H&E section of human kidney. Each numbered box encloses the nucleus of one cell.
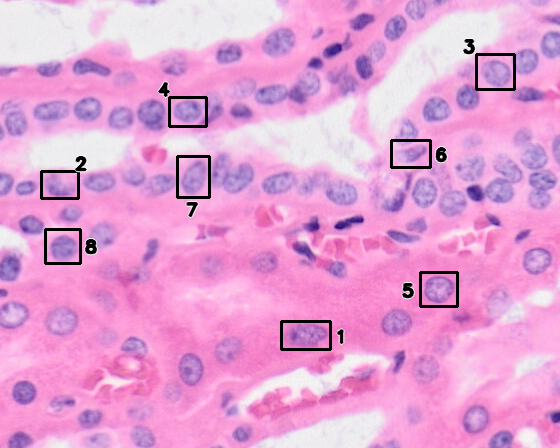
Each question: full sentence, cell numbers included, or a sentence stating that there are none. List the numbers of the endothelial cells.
Of the numbered cells, none are endothelial cells.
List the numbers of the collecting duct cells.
The cells numbered 2, 3, 4, 6 and 7 are identified as collecting duct cells.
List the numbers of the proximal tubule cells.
Cells 1 and 5 share one type; they are proximal tubule cells.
